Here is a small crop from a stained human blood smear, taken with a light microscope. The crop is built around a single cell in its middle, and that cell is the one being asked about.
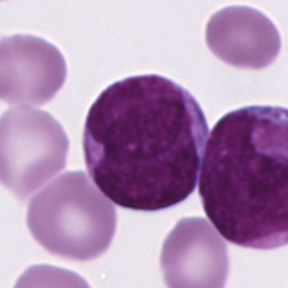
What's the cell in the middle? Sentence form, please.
The middle cell in this particular crop is a myeloblast.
